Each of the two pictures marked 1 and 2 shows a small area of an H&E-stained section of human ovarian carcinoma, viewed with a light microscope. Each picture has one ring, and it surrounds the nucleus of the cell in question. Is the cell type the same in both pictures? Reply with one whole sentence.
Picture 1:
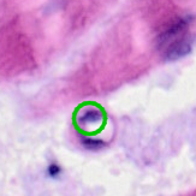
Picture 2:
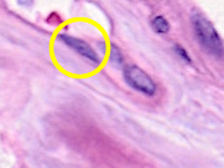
Yes, the two pictures both show endothelial cells.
